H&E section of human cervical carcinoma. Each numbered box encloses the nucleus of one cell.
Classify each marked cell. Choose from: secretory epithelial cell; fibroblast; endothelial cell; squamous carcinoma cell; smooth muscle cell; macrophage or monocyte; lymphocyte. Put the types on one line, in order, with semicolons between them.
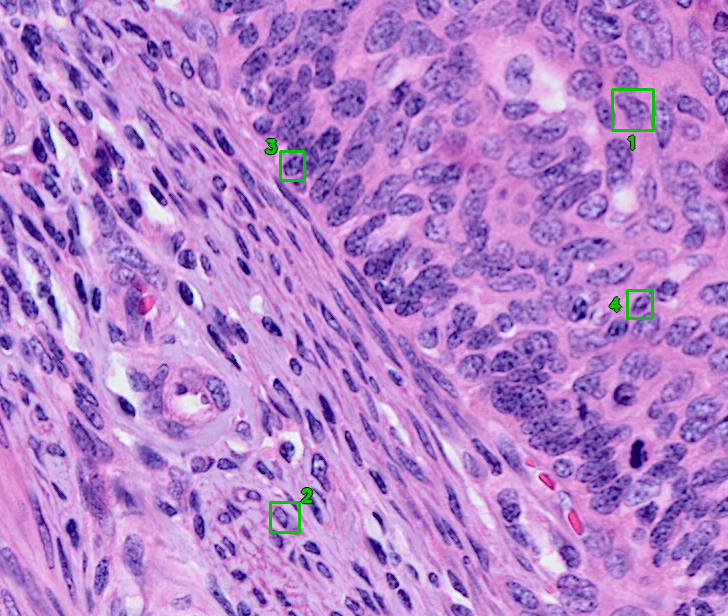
squamous carcinoma cell; smooth muscle cell; squamous carcinoma cell; squamous carcinoma cell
